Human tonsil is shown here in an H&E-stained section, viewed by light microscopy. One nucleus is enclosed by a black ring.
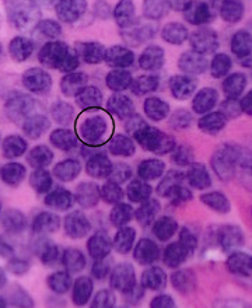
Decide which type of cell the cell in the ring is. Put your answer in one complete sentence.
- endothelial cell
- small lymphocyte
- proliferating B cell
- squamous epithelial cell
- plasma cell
Typologically, the cell in the ring is a small lymphocyte in this section.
